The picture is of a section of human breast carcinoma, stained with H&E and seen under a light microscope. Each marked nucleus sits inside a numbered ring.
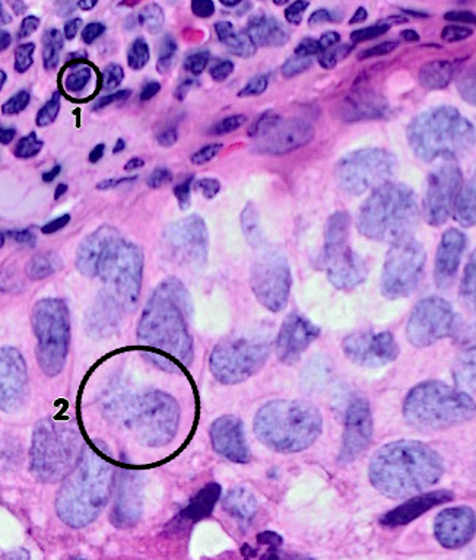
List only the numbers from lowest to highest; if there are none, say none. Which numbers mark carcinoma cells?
2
